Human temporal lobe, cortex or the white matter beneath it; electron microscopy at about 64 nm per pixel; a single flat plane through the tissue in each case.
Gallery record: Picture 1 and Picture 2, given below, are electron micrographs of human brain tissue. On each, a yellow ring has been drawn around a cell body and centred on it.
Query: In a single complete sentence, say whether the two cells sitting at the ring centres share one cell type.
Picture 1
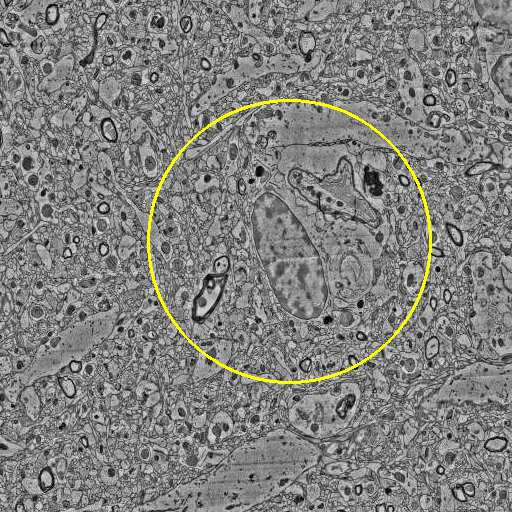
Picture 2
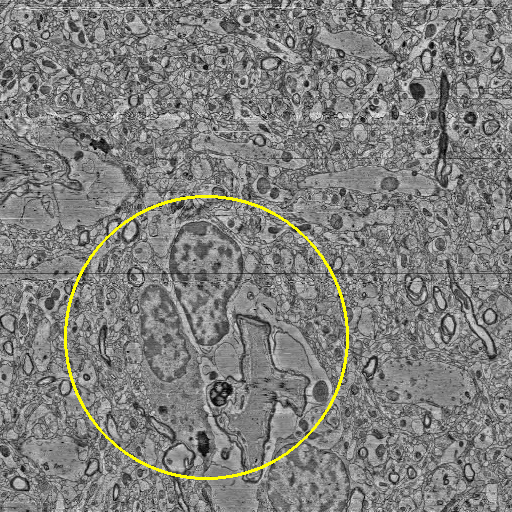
Yes, in both pictures the cell at the ring's centre is of one and the same type.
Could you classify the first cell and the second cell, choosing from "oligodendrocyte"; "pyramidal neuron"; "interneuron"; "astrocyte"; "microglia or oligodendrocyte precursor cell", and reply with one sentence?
Both pictures show a microglial cell or oligodendrocyte precursor cell at the centre of the ring.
